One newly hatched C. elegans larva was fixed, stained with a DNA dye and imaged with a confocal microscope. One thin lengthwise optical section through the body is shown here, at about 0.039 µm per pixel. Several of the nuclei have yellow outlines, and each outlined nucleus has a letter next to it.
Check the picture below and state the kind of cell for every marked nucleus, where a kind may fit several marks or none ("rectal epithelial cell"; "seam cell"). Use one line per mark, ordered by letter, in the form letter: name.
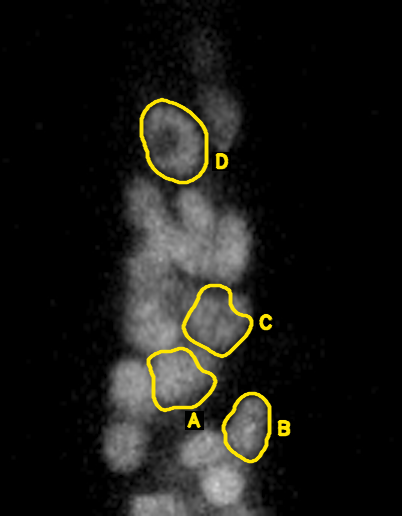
A: rectal epithelial cell
B: rectal epithelial cell
C: rectal epithelial cell
D: seam cell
